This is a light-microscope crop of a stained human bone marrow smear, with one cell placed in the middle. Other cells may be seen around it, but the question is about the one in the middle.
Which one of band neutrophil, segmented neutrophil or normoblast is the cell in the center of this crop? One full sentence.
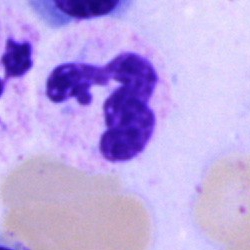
The middle position in this crop is taken by a segmented neutrophil.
